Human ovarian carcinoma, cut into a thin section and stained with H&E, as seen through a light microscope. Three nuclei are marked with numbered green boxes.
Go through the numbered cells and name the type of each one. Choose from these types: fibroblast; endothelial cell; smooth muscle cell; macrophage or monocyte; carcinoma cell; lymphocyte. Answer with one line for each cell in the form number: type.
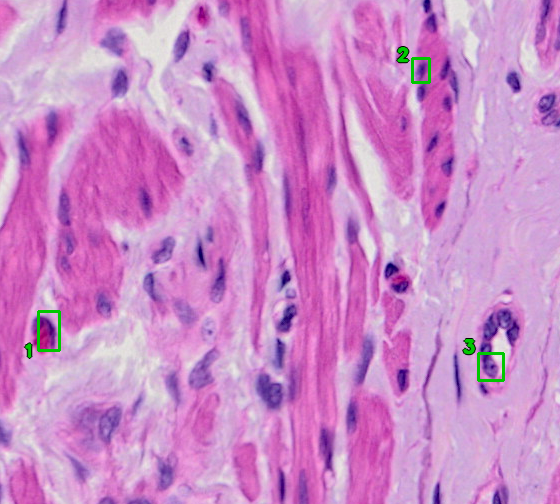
1: endothelial cell
2: smooth muscle cell
3: endothelial cell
